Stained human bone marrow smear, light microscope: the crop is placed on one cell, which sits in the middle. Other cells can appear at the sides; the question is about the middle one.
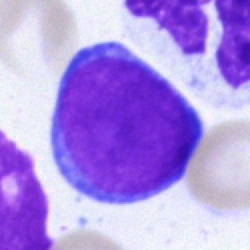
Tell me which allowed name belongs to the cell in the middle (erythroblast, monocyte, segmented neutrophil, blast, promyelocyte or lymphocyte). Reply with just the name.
blast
